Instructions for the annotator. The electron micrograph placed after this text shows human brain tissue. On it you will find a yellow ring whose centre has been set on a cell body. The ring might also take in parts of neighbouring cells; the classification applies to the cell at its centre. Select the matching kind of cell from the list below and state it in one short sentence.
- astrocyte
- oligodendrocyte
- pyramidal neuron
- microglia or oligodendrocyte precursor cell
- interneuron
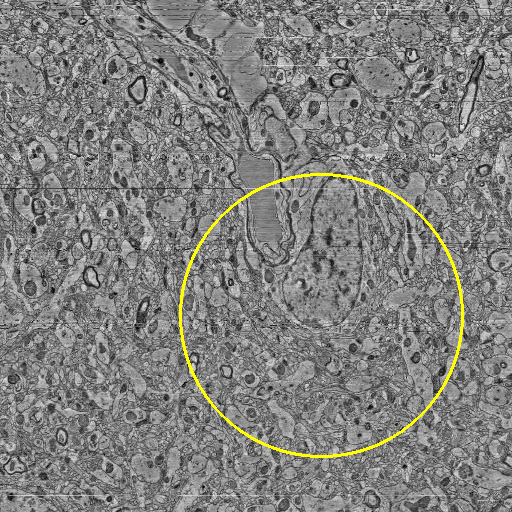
The ring is drawn on the cell body of a microglial cell or oligodendrocyte precursor cell.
